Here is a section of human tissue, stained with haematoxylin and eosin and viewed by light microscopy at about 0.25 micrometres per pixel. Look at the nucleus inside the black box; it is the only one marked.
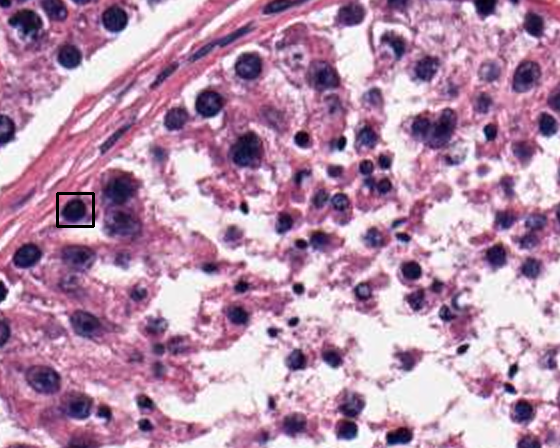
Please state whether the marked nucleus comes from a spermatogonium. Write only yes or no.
yes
